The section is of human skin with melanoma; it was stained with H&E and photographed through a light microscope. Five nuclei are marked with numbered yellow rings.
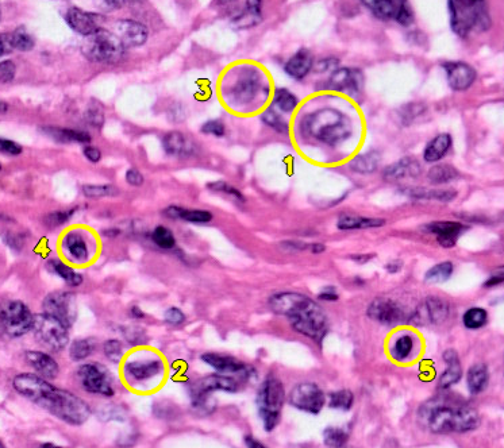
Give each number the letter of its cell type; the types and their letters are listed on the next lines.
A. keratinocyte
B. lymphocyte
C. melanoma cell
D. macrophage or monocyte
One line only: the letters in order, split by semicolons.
C; C; C; B; B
